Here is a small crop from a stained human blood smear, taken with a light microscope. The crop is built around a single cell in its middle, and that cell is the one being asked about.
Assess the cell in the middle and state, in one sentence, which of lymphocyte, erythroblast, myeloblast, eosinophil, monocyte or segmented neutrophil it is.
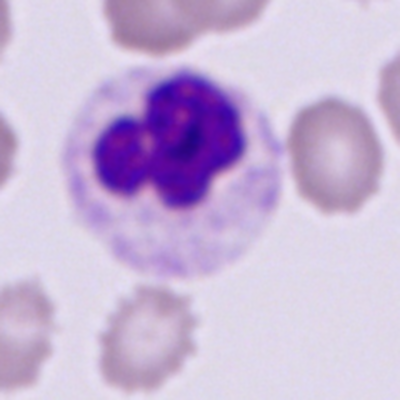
The cell of interest, in the center, is a segmented neutrophil.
